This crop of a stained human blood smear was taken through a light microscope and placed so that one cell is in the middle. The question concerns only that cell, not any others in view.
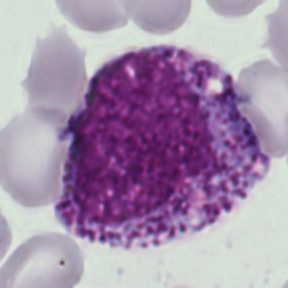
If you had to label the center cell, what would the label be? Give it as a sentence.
Positioned in the middle of the crop is a promyelocyte.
